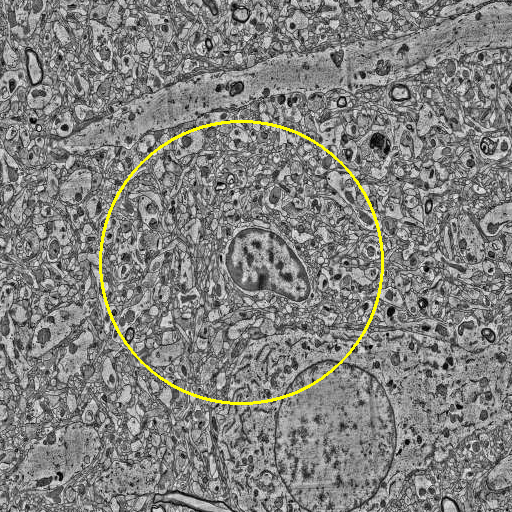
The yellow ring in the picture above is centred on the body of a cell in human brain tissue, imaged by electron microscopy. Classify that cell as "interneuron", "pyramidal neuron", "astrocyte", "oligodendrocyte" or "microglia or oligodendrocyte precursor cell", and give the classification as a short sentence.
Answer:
The cell in the middle of the ring is a microglial cell or oligodendrocyte precursor cell.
